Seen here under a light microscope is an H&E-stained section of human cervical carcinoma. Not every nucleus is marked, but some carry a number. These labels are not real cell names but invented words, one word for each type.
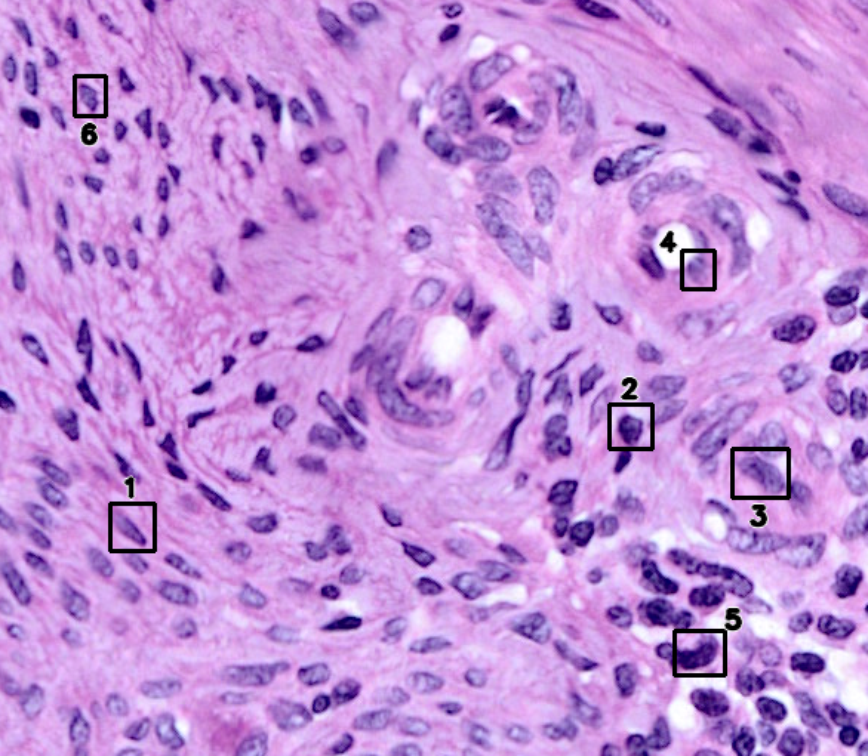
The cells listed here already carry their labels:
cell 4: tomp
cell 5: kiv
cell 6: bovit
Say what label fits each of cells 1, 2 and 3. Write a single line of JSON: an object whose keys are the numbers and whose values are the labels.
{"1": "bovit", "2": "kiv", "3": "tomp"}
